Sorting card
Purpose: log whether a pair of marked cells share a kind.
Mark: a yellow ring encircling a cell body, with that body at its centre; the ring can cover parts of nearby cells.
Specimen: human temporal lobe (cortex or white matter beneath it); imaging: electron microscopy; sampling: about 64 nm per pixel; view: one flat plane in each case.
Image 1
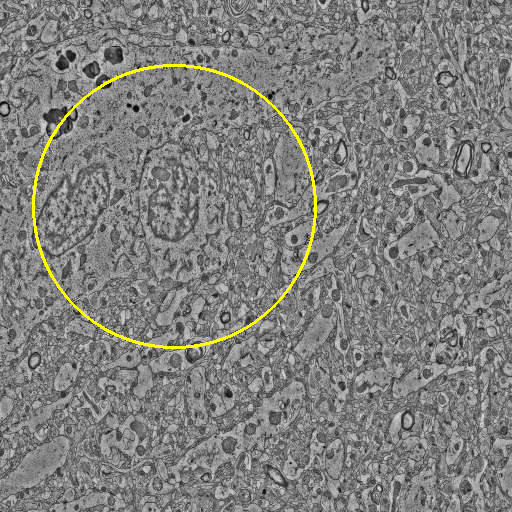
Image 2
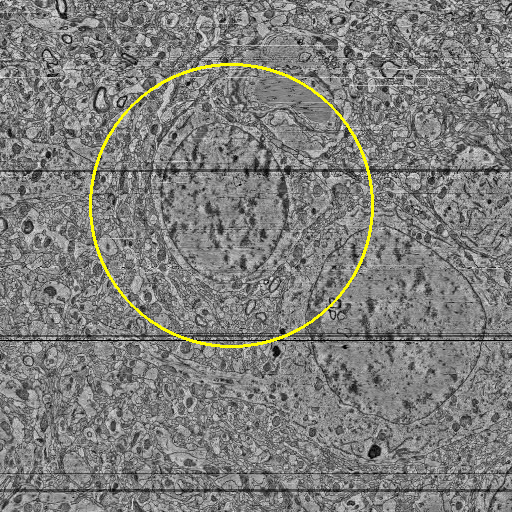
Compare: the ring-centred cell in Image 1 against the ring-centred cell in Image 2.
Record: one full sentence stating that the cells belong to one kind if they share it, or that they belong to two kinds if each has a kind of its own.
Across Images 1 and 2, the two ring-centred cells belong to one kind.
